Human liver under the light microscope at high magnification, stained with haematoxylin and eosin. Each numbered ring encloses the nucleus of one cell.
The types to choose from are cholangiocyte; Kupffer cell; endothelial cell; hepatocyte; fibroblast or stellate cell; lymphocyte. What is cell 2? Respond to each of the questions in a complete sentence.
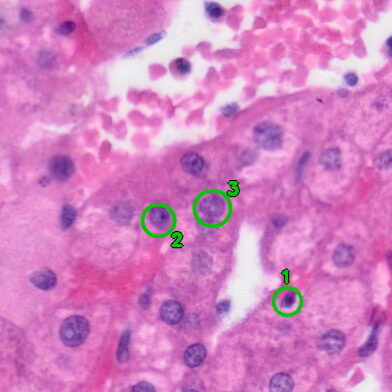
The cell pointed out by number 2 is a hepatocyte.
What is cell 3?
Of the numbered cells, the one labelled 3 is a hepatocyte.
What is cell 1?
The cell that bears the number 1 is a lymphocyte.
